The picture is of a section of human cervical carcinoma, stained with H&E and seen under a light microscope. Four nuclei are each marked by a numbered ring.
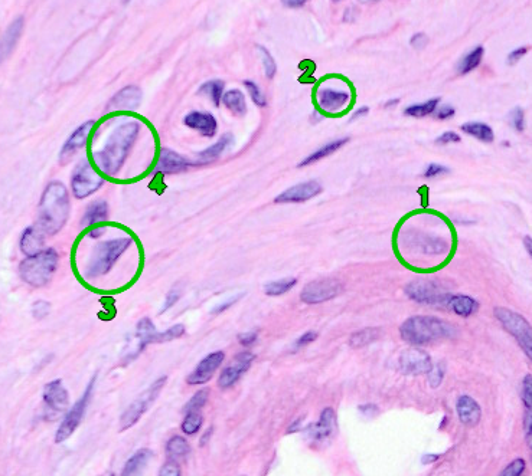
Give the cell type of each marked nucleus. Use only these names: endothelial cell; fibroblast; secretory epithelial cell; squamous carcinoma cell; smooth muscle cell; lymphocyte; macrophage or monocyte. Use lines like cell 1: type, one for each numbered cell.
cell 1: smooth muscle cell
cell 2: fibroblast
cell 3: fibroblast
cell 4: endothelial cell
